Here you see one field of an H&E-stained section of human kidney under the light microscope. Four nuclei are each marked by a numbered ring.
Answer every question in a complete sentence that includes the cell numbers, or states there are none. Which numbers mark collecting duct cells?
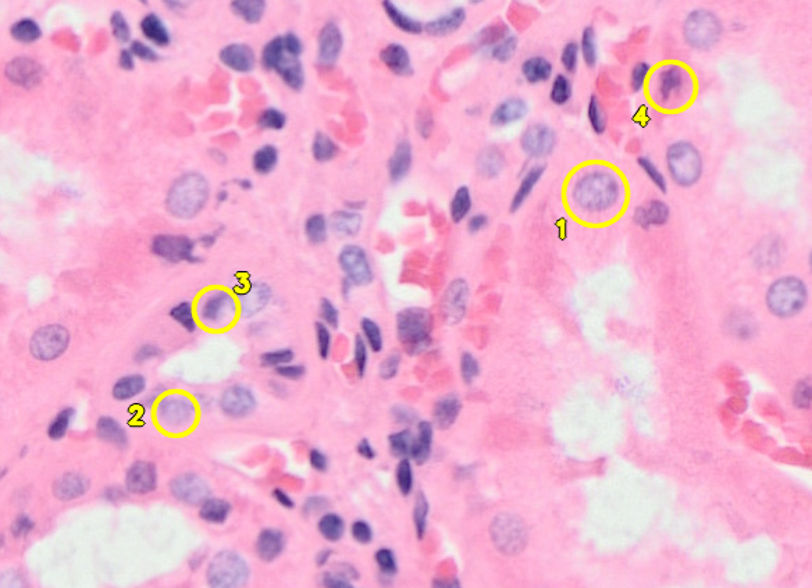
Within this tissue, the cells numbered 2 and 3 are collecting duct cells.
